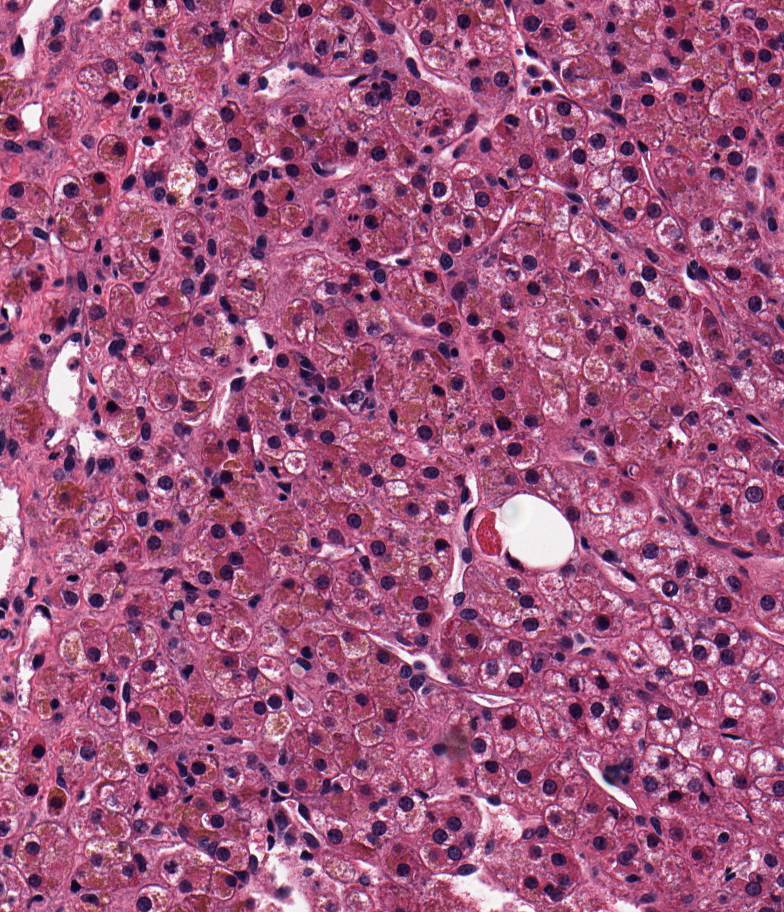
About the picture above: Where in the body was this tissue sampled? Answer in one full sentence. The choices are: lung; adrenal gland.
Tissue of the adrenal gland was sampled to make this section.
